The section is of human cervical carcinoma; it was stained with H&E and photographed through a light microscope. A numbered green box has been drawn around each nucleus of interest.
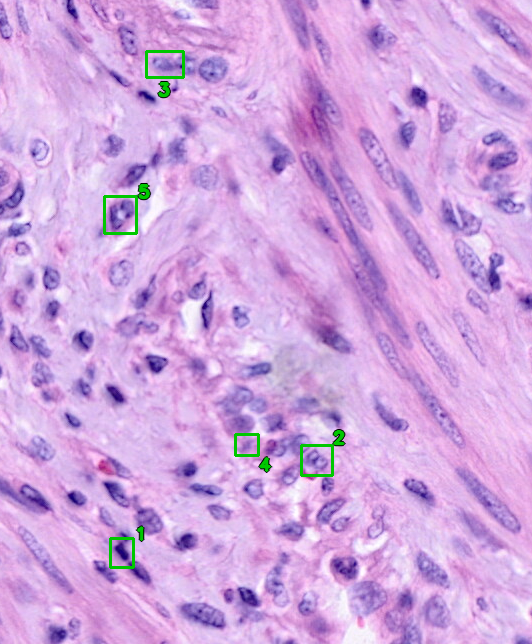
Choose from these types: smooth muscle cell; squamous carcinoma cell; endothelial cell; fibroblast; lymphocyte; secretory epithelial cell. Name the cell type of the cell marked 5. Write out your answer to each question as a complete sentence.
Cell 5 in the field of view is an endothelial cell.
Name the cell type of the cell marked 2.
Of the numbered cells, the one labelled 2 is an endothelial cell.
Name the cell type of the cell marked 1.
In the marked set, the cell given number 1 is a lymphocyte.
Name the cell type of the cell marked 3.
The cell given label 3 is a smooth muscle cell.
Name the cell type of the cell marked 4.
Number 4 among the marked cells is an endothelial cell.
